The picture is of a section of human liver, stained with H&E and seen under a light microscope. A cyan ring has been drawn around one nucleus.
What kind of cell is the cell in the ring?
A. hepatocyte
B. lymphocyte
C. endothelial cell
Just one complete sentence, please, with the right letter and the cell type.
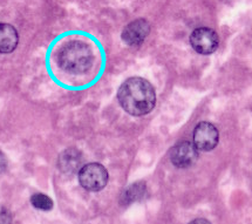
Option A gets it right: the cell in the ring is a hepatocyte.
